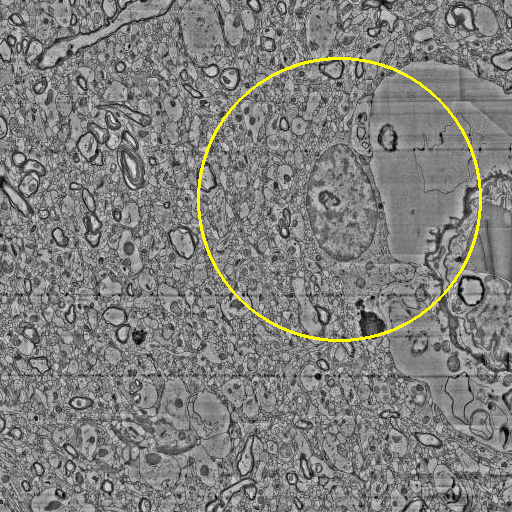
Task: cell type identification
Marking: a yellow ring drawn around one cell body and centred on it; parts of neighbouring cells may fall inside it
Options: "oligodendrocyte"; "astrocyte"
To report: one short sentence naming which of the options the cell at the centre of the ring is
The cell at the centre of the ring is an oligodendrocyte.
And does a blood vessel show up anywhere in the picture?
Yes, there is a blood vessel.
